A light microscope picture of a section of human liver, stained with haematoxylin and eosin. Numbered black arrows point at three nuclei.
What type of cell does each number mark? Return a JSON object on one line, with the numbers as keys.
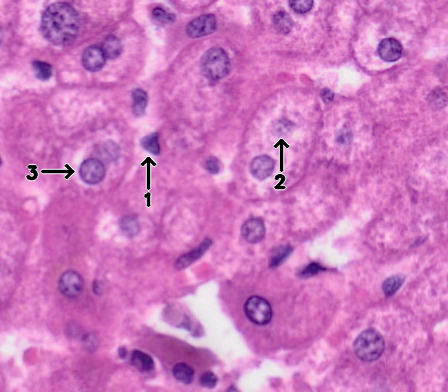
{"1": "endothelial cell", "2": "hepatocyte", "3": "hepatocyte"}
